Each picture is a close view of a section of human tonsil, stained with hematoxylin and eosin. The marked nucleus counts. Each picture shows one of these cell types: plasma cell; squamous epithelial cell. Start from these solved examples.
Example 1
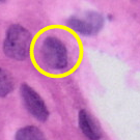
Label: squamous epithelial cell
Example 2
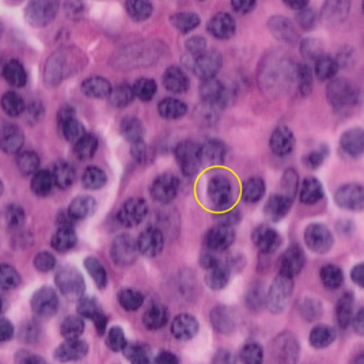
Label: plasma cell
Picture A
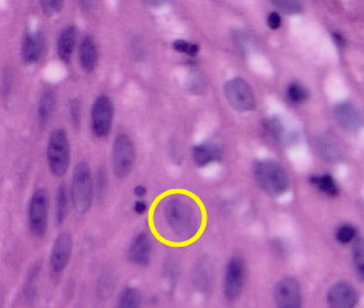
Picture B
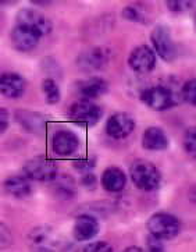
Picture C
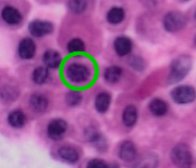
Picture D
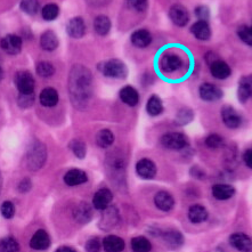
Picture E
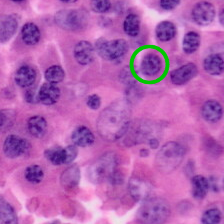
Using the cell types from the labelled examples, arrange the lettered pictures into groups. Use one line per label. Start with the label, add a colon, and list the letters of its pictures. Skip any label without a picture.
plasma cell: B, C, D, E
squamous epithelial cell: A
